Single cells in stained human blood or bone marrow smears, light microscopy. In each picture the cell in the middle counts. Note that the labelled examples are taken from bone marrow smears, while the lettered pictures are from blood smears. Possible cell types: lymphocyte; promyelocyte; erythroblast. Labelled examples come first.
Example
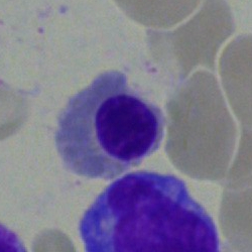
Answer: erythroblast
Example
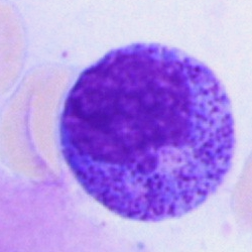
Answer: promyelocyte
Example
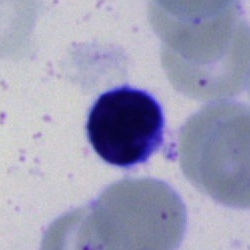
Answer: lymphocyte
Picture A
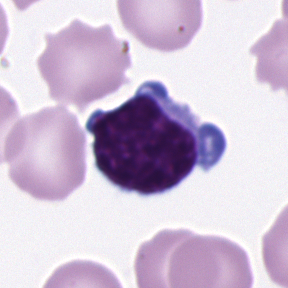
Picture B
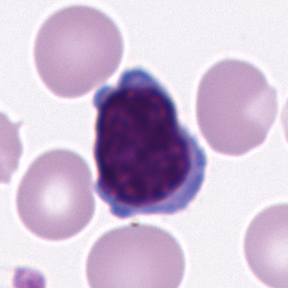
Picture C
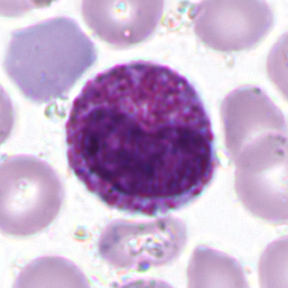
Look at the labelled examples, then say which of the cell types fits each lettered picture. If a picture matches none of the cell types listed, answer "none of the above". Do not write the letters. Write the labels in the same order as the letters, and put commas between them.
lymphocyte, lymphocyte, none of the above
